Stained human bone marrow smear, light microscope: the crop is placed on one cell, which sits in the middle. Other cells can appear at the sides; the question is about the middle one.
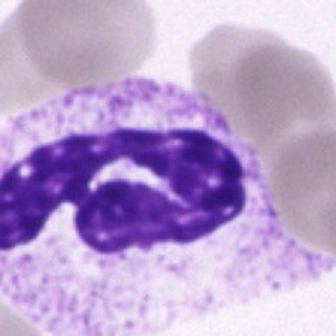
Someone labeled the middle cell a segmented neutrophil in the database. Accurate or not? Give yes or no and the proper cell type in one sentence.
Yes, shown in the middle of the crop is a segmented neutrophil.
